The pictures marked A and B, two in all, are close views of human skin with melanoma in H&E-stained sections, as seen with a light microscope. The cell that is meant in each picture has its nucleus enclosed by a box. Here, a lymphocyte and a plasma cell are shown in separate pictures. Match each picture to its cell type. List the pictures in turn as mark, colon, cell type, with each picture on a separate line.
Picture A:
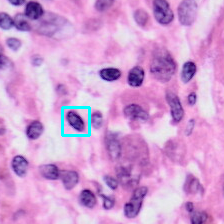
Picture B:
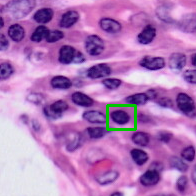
A: lymphocyte
B: plasma cell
